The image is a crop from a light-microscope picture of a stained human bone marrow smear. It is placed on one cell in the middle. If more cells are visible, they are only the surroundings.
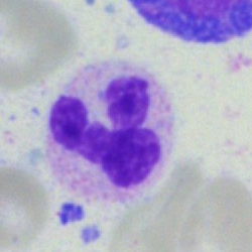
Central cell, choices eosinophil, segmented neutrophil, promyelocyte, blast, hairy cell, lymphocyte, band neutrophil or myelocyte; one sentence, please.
Located at the centre of the crop is a segmented neutrophil.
